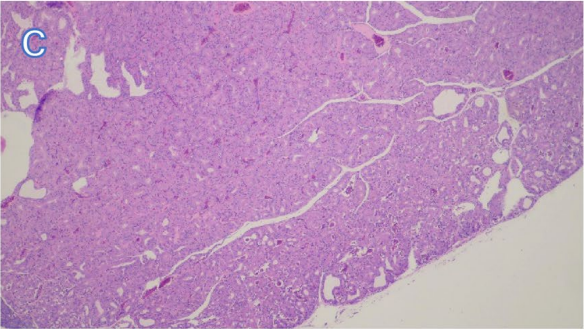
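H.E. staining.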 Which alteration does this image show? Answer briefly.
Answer: Diffused follicular hyperplasia.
